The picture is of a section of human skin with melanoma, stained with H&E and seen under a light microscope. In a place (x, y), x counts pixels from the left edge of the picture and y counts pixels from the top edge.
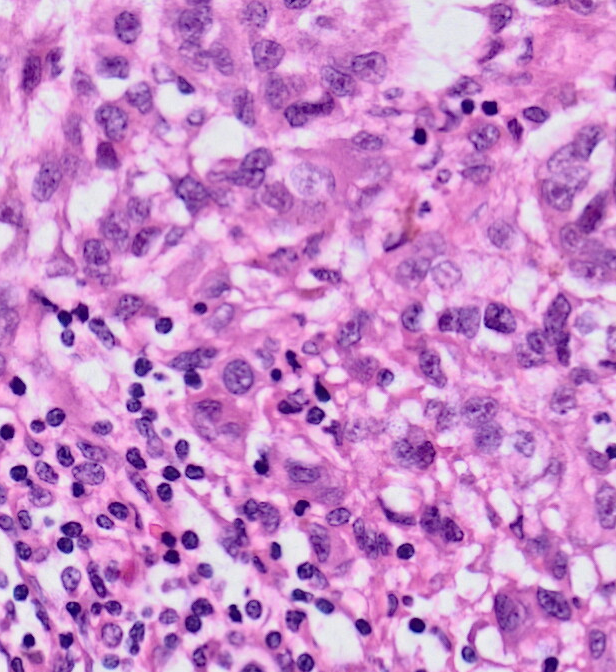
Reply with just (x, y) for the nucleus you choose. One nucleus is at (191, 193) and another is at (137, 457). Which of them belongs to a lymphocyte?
(137, 457)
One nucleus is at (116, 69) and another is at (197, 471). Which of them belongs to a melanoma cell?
(116, 69)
